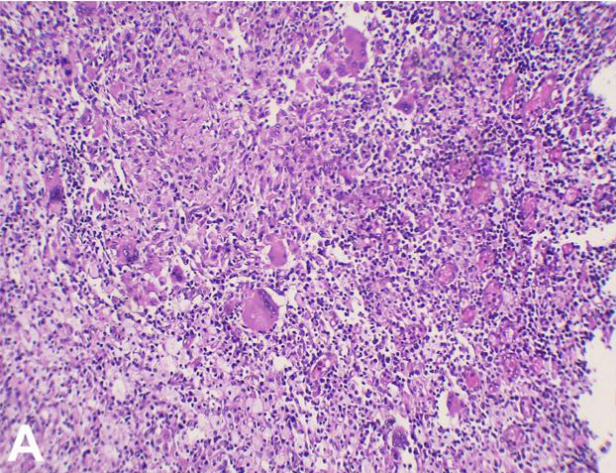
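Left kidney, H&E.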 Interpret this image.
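Renal tissue is replaced by dense sheets of inflammatory cells with small dark nuclei. Scattered among them are large multinucleated giant cells with abundant pink cytoplasm. No normal renal tubules or glomeruli can be picked out in the field.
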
